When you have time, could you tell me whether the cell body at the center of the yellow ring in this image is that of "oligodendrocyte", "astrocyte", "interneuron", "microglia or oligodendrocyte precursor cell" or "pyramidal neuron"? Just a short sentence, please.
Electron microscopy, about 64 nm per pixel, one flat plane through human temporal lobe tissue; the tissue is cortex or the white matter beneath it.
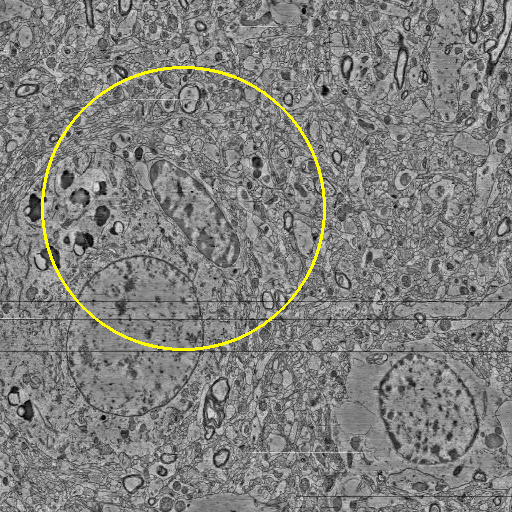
The cell body at the center of the ring is that of a microglial cell or oligodendrocyte precursor cell.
